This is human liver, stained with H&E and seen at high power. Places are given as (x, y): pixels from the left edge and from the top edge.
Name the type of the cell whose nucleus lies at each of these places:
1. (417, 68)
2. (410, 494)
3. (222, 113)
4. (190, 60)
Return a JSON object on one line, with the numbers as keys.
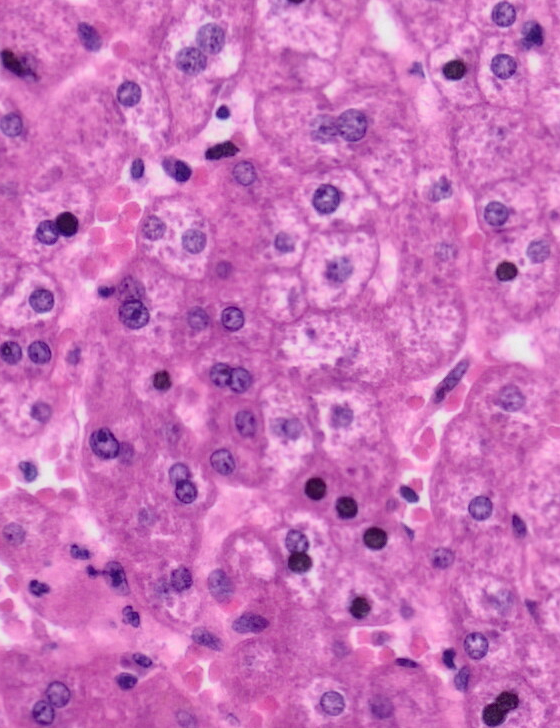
{"1": "endothelial cell", "2": "lymphocyte", "3": "lymphocyte", "4": "hepatocyte"}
